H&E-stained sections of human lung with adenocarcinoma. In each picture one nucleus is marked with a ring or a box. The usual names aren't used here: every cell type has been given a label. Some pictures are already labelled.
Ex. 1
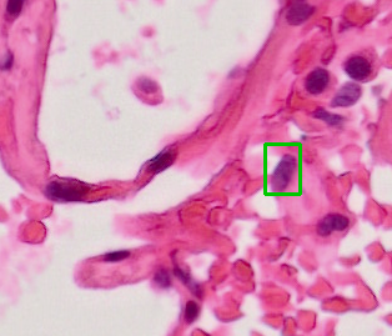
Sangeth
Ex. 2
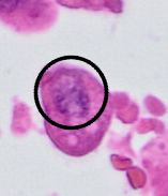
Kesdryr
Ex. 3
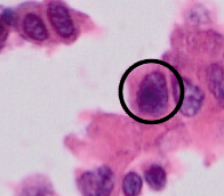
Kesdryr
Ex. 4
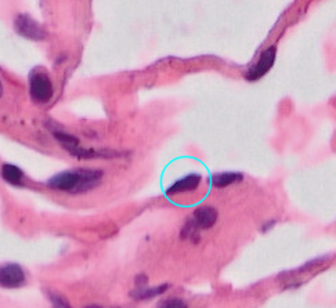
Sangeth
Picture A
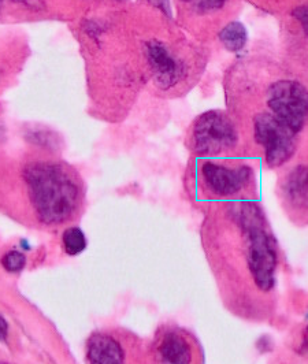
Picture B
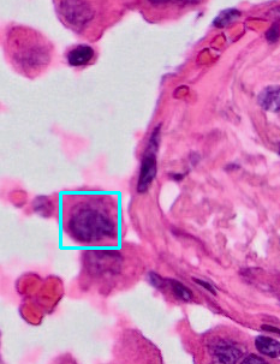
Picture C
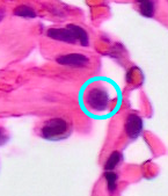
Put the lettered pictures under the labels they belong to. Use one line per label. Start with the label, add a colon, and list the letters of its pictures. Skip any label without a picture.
Sangeth: C
Kesdryr: A, B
